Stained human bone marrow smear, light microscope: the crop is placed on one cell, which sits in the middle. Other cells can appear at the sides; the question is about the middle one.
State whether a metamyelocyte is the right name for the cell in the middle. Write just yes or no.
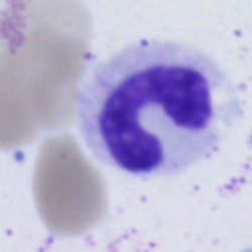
no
